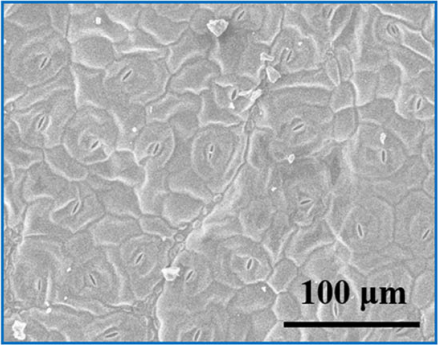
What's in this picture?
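This scanning electron view shows the leaf surface, an epidermis made of flat, interlocking pavement cells scattered with stomata. The pavement cells are polygonal to irregular, bounded by raised, slightly wavy walls that give the surface a mosaic look. The stomata appear as short slit-shaped pores, each lying in a rounded, slightly raised area formed by the pair of guard cells. They are numerous and spread fairly evenly between the pavement cells, with no particular orientation. A few small bright particles of debris rest on the surface.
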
